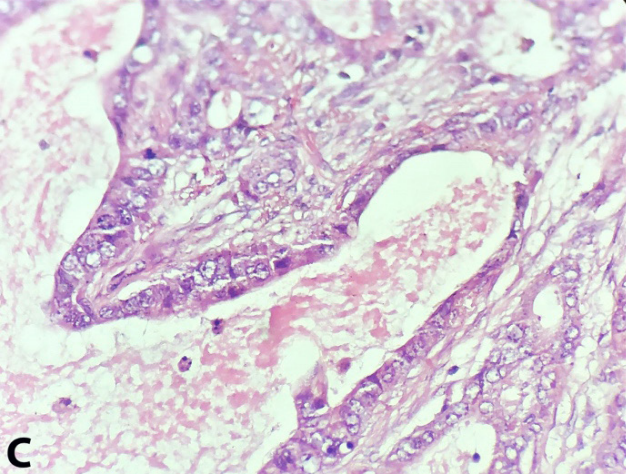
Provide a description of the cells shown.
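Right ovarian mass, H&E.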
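This high-power view shows glands lined by cuboidal to columnar cells. The nuclei are large, pale and vesicular, with prominent nucleoli. The cells have a moderate amount of purplish cytoplasm, some with clear vacuoles. Pale pink secretion fills the gland lumens.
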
